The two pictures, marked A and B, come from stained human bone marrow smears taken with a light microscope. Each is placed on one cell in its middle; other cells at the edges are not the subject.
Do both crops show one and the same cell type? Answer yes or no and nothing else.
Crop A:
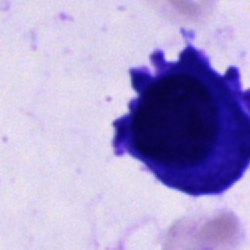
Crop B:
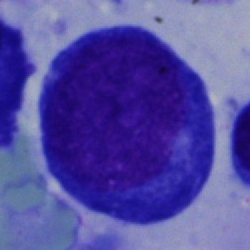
no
